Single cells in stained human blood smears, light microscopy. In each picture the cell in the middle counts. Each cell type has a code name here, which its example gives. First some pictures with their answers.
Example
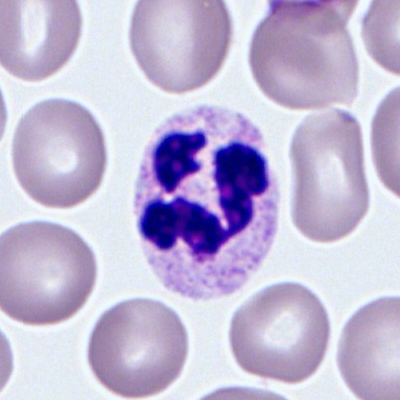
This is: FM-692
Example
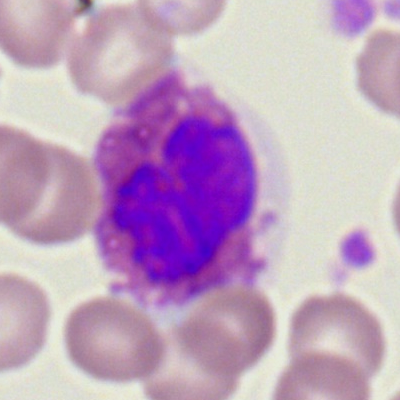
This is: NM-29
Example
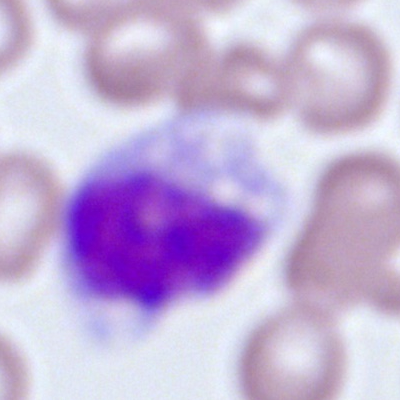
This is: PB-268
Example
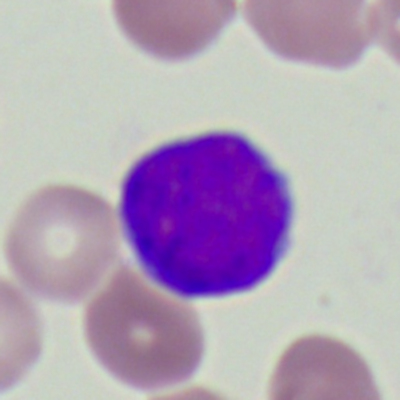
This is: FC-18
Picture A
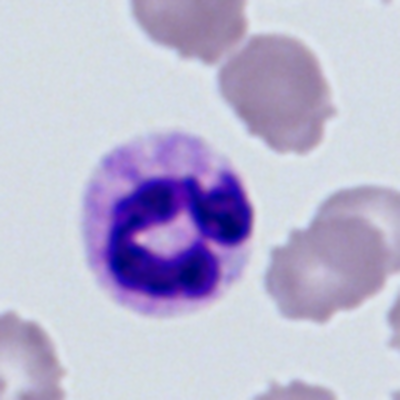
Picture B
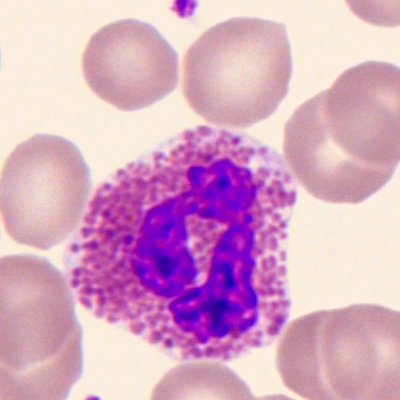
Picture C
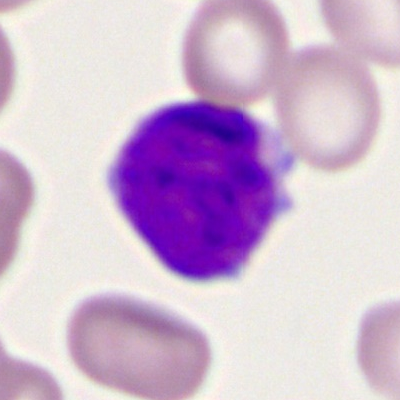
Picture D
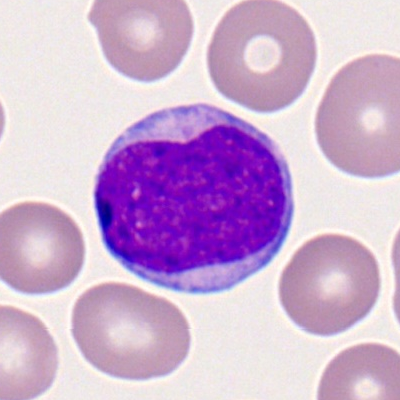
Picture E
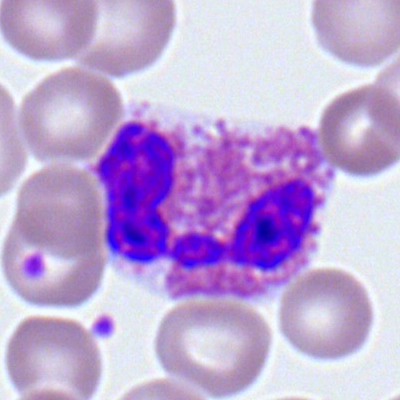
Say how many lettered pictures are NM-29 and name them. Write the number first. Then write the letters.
Count: 2 (B, E)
